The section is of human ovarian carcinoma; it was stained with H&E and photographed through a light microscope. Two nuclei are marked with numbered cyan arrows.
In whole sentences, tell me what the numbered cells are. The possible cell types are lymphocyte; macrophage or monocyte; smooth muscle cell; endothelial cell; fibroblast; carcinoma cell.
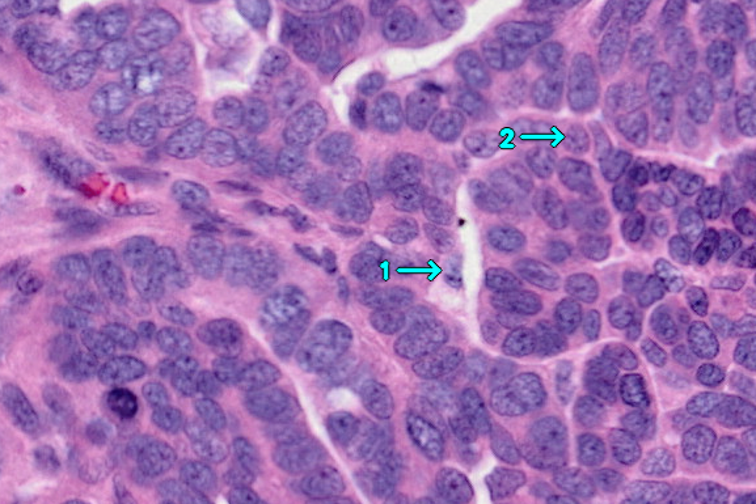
Cell 1 is a macrophage or monocyte. Cell 2 is a carcinoma cell.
